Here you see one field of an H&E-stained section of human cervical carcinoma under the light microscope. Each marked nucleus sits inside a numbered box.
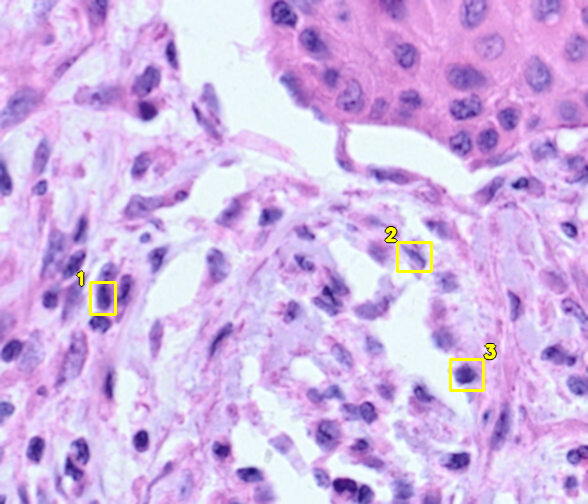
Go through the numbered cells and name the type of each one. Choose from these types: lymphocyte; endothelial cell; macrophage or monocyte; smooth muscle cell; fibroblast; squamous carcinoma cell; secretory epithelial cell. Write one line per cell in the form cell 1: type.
cell 1: lymphocyte
cell 2: fibroblast
cell 3: lymphocyte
